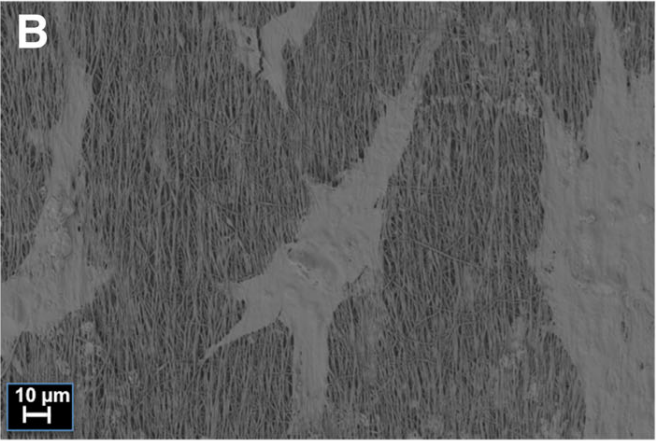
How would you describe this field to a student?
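This scanning electron micrograph shows a few flat, widely spread cells lying on a dense mesh of fine fibres. The fibres run mostly in one direction and are clearly exposed over much of the field. The cells are thin and irregular in outline, with tapering extensions reaching out over the mesh. Large areas of scaffold between the cells are not covered, so the cells are less densely spread than in a confluent layer.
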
